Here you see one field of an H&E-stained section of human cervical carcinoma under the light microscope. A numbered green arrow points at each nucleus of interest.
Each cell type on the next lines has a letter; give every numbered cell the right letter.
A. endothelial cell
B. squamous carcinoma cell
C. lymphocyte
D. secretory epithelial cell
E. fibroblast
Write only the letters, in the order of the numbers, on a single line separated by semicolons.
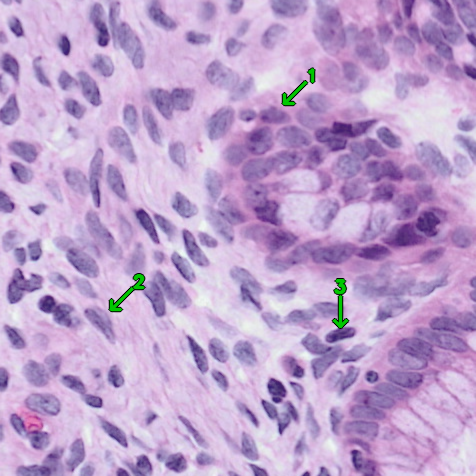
D; E; C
